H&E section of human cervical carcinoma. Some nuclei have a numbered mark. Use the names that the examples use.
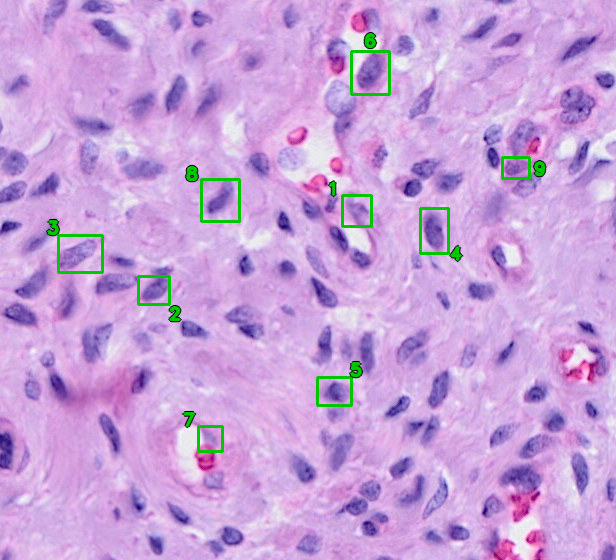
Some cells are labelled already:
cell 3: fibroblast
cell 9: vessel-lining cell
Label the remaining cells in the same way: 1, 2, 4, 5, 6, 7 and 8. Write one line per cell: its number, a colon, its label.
1: vessel-lining cell
2: fibroblast
4: fibroblast
5: fibroblast
6: vessel-lining cell
7: vessel-lining cell
8: fibroblast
